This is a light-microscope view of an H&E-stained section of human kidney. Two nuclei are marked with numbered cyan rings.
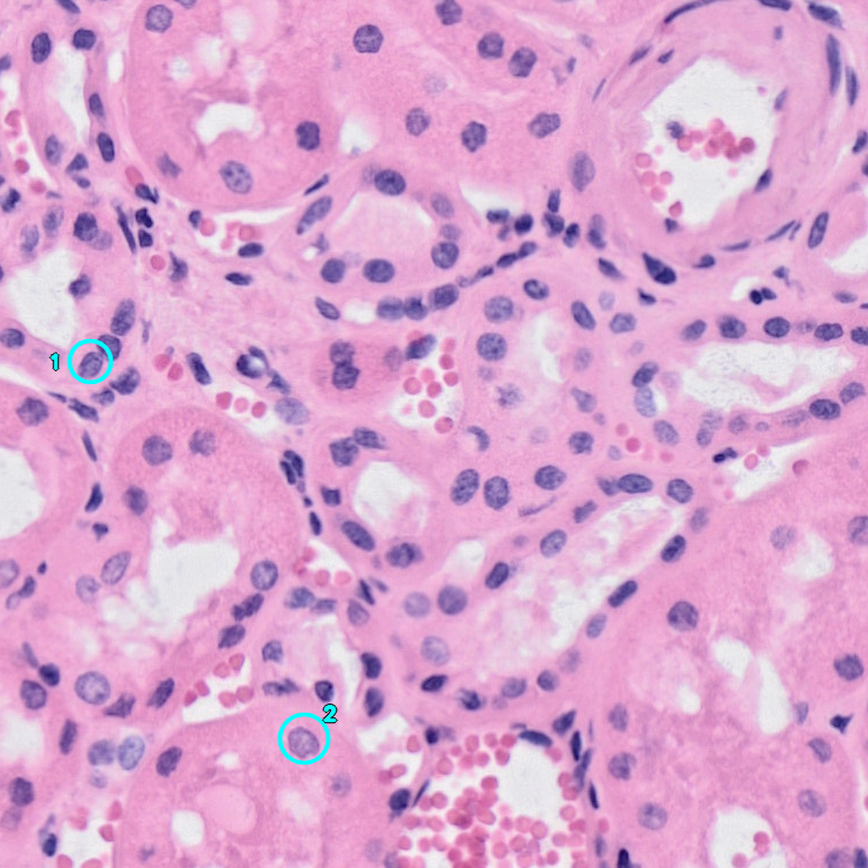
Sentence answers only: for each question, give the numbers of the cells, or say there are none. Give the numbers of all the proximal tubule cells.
Only number 2 is a proximal tubule cell; none of the others are.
